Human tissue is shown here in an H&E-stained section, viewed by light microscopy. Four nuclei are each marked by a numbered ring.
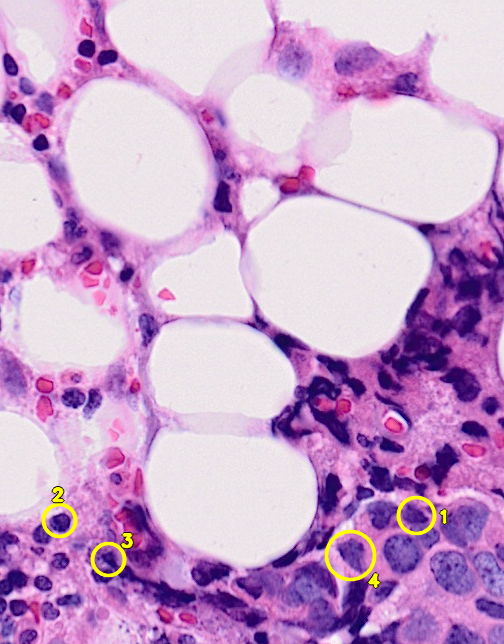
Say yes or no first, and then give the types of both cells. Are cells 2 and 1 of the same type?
No, cell 2 is a lymphocyte and cell 1 is a carcinoma cell.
